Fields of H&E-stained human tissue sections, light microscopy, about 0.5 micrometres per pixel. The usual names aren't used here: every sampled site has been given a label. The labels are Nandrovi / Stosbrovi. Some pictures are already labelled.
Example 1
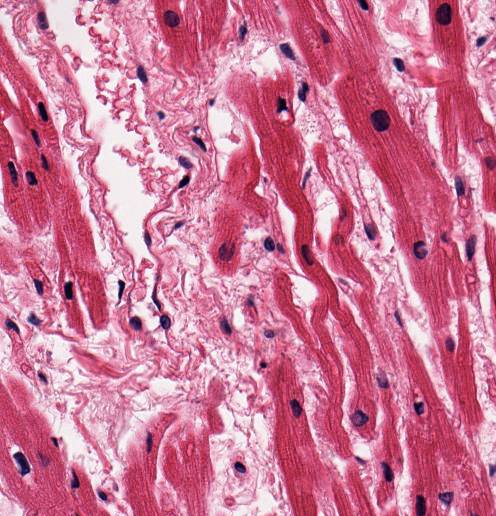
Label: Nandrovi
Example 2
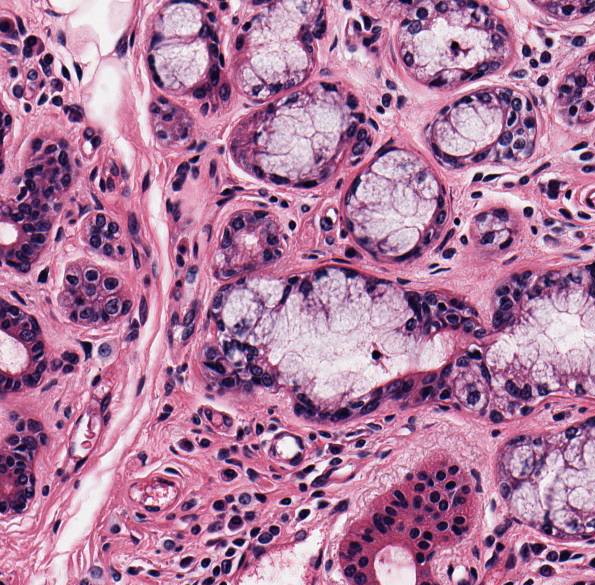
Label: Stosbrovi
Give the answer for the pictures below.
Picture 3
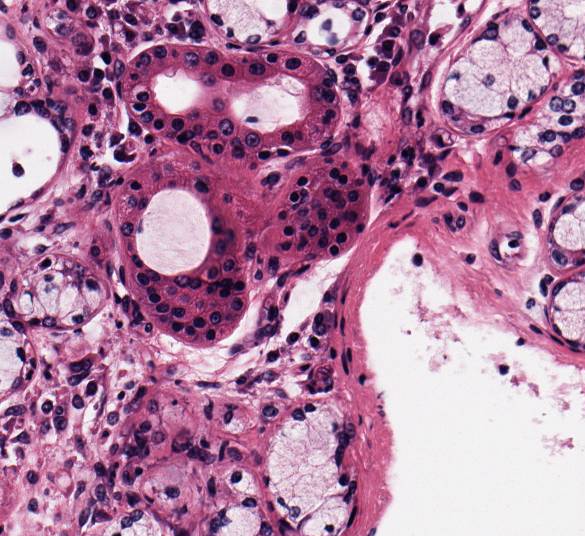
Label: Stosbrovi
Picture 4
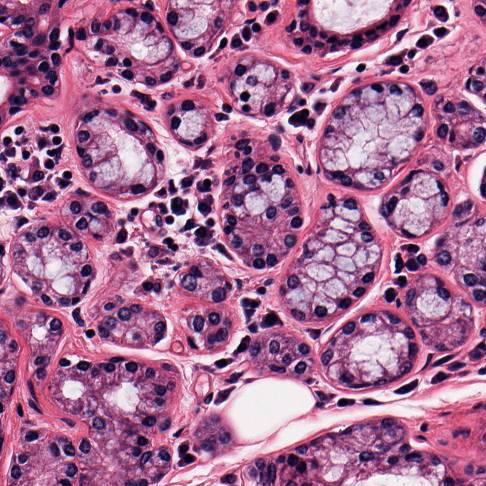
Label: Stosbrovi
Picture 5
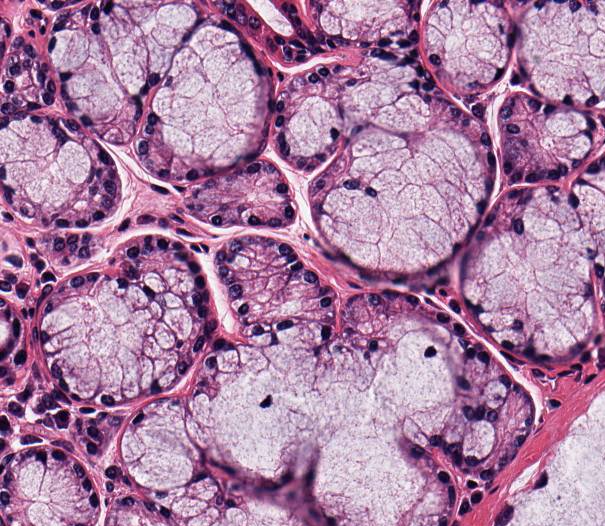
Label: Stosbrovi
